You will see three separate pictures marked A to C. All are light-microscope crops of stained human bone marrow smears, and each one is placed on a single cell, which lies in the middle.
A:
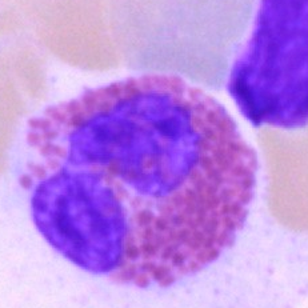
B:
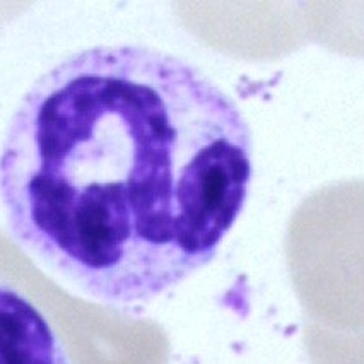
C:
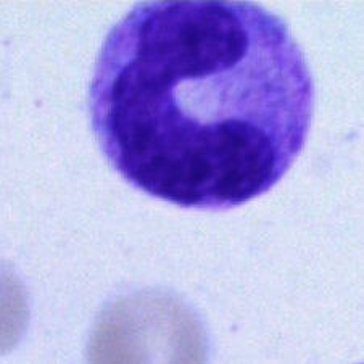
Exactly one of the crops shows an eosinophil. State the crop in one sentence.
Among all the crops given here, the one with an eosinophil is crop A.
